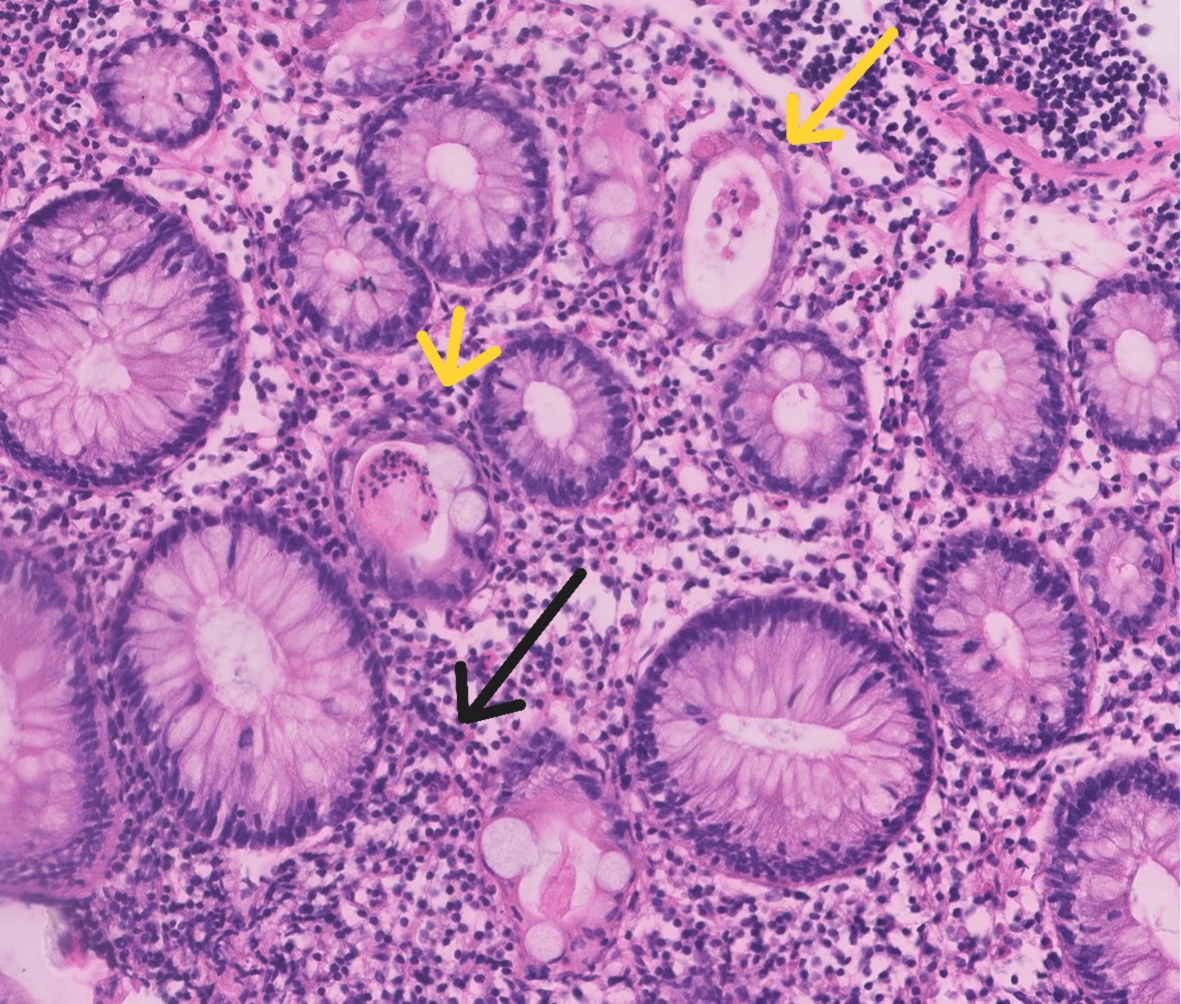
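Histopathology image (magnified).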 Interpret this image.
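Mucosa with glandular crypts cut in cross-section, each crypt lined by a single layer of columnar cells. The lining has many pale, mucin-filled goblet cells, and dark basal nuclei form a ring around each crypt. The tissue between the crypts is crowded with small, round, dark-nucleated inflammatory cells. A few crypts have thinned epithelium, and their lumens hold clusters of dark nuclear fragments and pink debris.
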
